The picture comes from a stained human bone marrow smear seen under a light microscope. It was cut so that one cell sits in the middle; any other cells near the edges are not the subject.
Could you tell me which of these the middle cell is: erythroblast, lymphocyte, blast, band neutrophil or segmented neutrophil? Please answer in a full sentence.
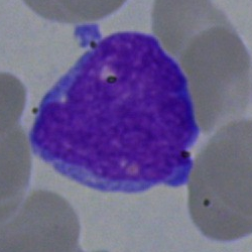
This crop has a blast at its centre.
